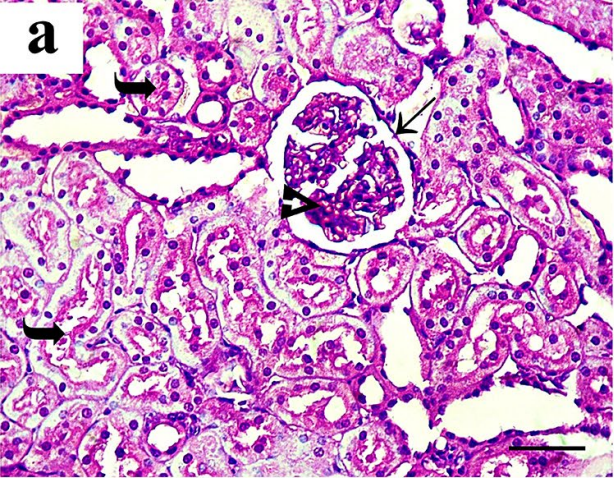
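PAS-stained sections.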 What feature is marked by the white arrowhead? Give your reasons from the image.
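The arrowhead lies within a rounded tuft of looped, magenta-outlined channels. The tuft sits inside a clear space surrounded by a thin capsule. That points to this answer: glomerular capillaries.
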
